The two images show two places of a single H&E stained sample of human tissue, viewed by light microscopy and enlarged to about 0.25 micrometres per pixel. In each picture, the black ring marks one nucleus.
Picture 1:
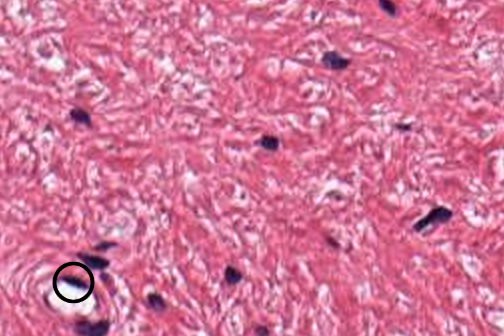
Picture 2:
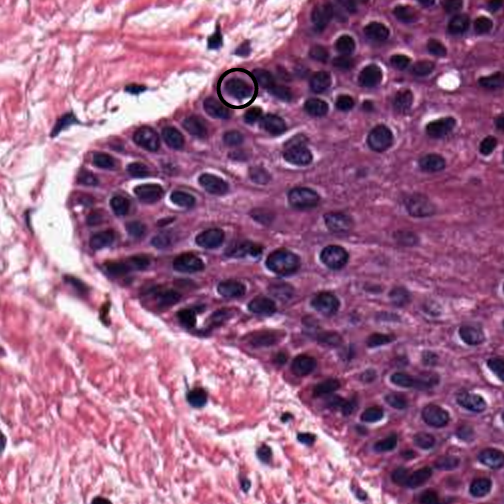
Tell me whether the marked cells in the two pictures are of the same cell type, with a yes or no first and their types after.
No, the first is an endothelial cell and the second a squamous epithelial cell.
